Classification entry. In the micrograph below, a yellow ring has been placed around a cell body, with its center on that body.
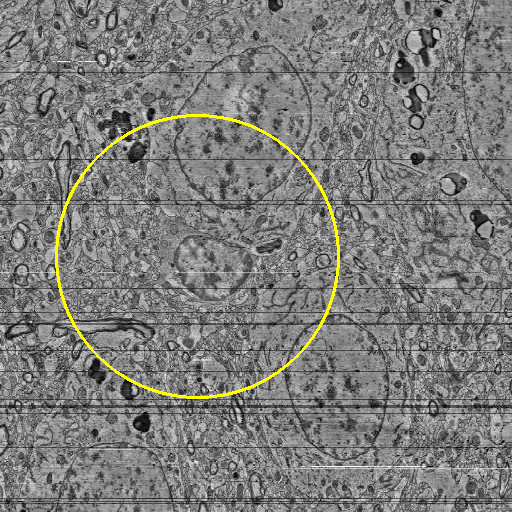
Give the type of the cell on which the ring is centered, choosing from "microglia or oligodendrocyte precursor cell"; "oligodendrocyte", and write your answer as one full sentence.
The cell body at the center of the yellow ring belongs to an oligodendrocyte.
